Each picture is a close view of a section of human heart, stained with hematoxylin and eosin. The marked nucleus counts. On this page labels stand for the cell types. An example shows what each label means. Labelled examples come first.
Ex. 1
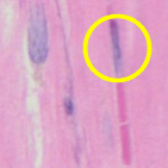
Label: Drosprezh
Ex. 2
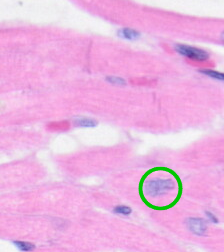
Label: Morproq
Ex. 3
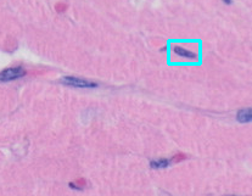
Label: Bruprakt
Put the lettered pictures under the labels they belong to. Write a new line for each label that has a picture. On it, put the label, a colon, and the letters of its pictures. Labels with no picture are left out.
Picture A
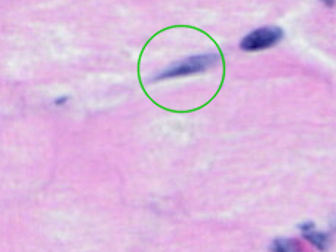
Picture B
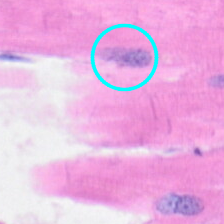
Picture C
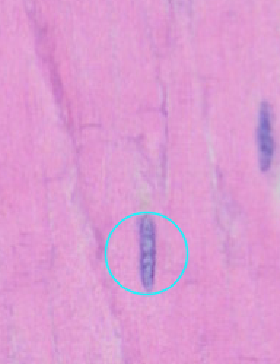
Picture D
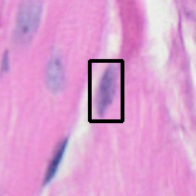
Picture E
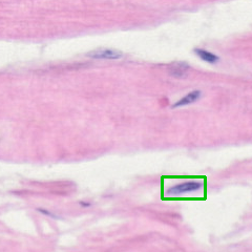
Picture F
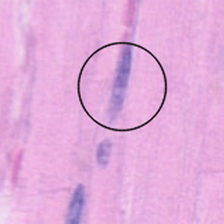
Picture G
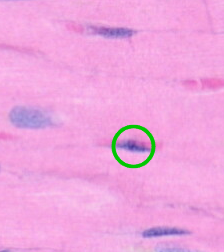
Drosprezh: A, F, G
Morproq: B, C
Bruprakt: D, E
